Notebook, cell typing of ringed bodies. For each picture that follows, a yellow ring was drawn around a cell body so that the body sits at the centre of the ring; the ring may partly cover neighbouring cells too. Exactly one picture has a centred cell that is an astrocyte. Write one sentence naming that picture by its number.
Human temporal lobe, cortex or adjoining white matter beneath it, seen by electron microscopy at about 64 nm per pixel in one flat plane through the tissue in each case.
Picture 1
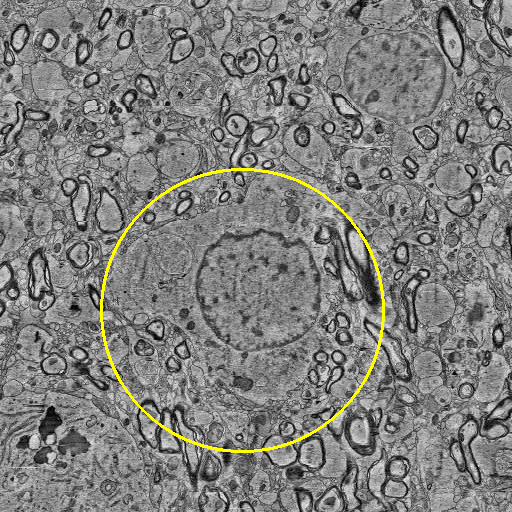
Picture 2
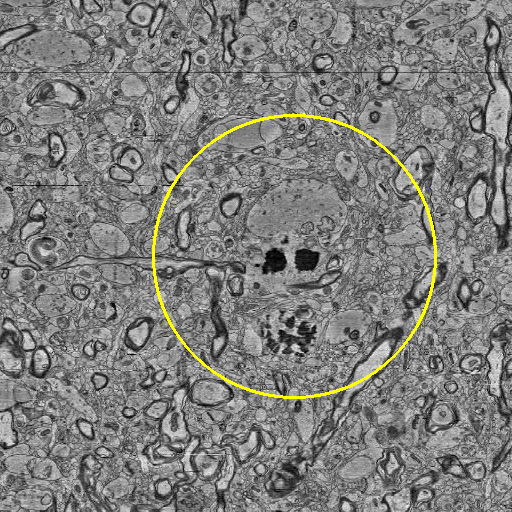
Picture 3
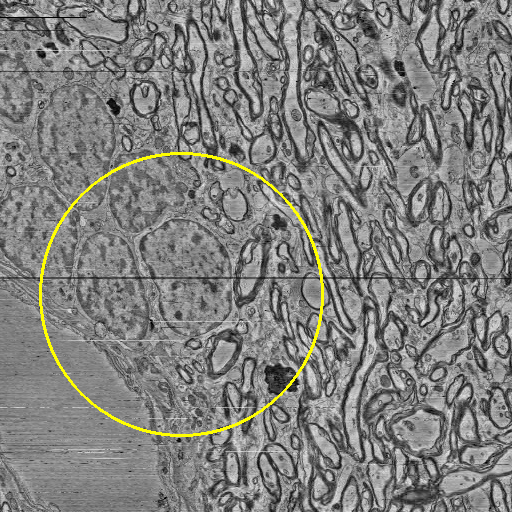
Picture 1 is the one with it at the centre of its ring.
